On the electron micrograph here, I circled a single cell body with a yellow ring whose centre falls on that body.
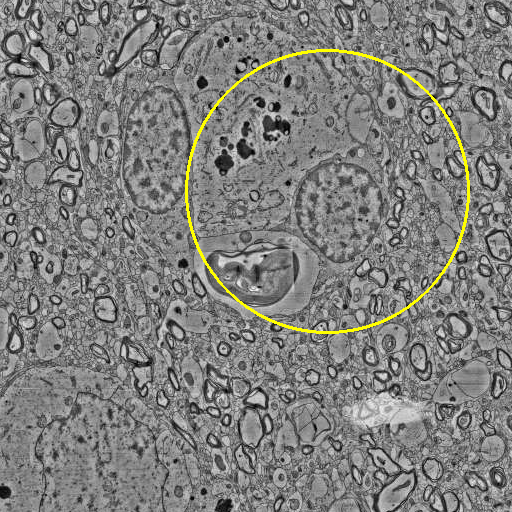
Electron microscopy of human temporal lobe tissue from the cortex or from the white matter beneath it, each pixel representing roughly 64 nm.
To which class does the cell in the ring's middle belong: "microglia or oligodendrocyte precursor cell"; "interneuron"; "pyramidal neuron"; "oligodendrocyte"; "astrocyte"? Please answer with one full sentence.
In this picture, the cell body circled at the ring's centre belongs to an oligodendrocyte.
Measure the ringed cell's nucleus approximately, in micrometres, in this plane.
About 6 micrometres across in this plane.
